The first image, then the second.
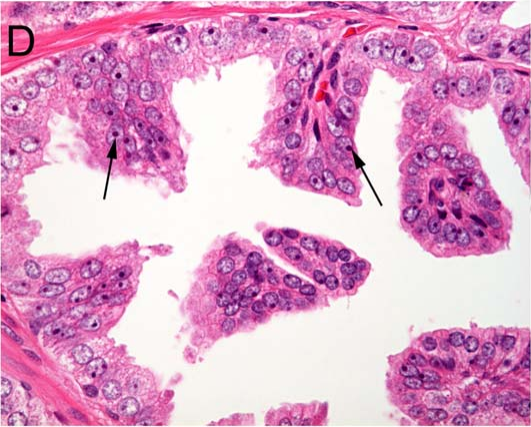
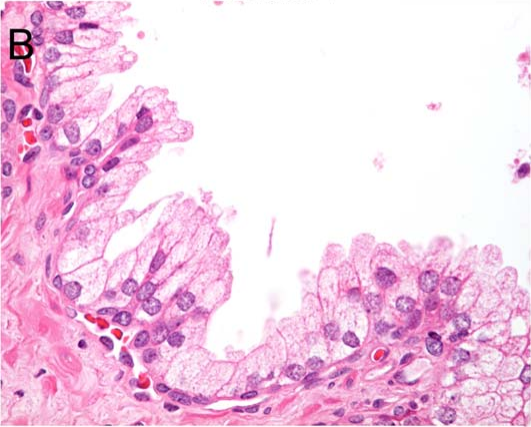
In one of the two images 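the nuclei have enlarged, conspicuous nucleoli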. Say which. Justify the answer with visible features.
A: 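First image: large pale nuclei with prominent dark nucleoli crowd the lining. Second image: small nuclei sit along the base beneath pale, clear cytoplasm, without conspicuous nucleoli. On this evidence: the first image.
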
